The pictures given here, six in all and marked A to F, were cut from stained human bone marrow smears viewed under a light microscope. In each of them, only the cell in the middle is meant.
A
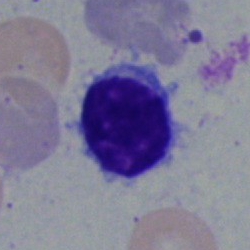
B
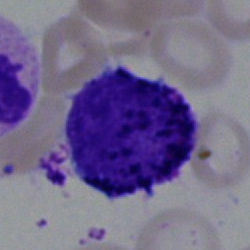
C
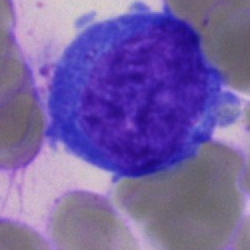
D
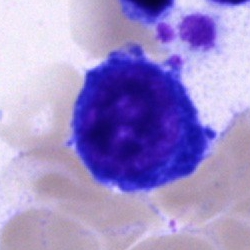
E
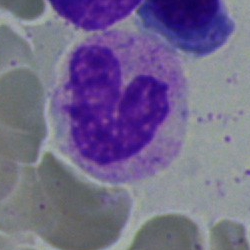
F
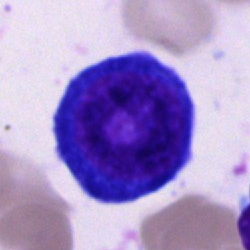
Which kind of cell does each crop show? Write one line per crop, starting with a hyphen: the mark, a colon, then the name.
- A: lymphocyte
- B: basophil
- C: proerythroblast
- D: proerythroblast
- E: band neutrophil
- F: proerythroblast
